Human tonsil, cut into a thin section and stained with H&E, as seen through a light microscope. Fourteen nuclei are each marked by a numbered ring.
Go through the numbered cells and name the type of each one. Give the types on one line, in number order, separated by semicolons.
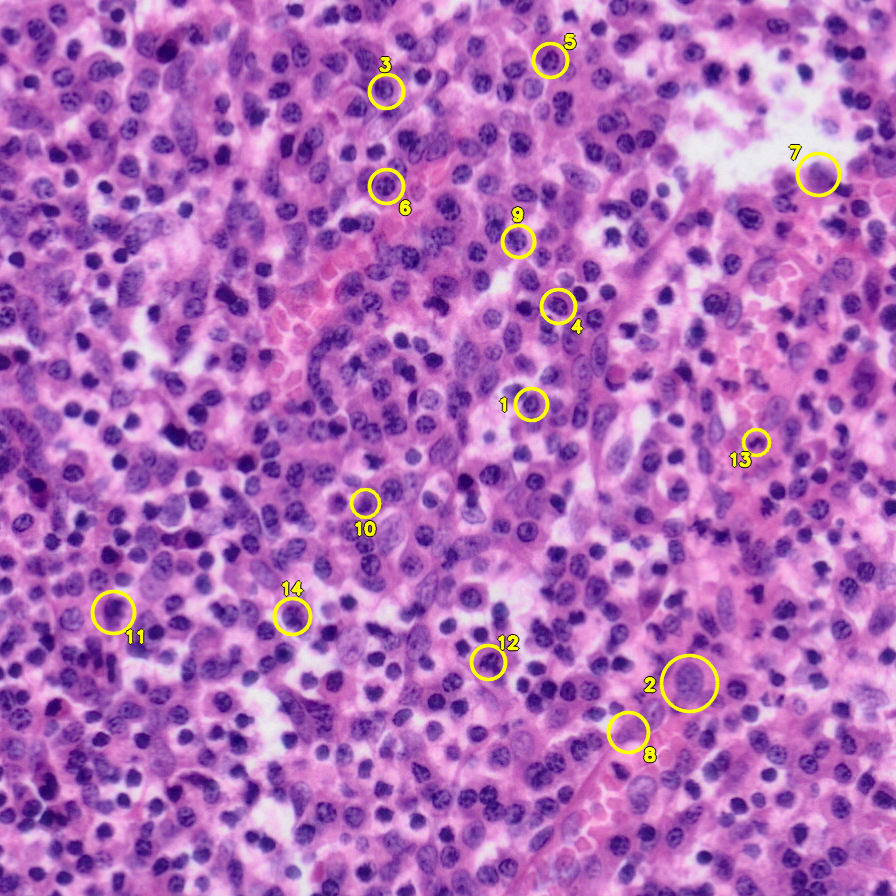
plasma cell; endothelial cell; plasma cell; plasma cell; plasma cell; plasma cell; squamous epithelial cell; endothelial cell; plasma cell; squamous epithelial cell; squamous epithelial cell; plasma cell; endothelial cell; plasma cell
